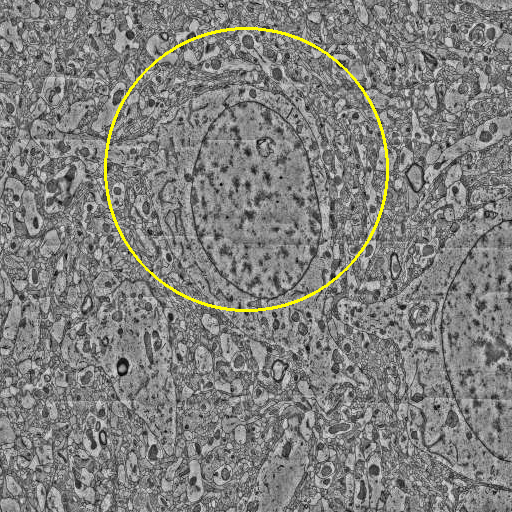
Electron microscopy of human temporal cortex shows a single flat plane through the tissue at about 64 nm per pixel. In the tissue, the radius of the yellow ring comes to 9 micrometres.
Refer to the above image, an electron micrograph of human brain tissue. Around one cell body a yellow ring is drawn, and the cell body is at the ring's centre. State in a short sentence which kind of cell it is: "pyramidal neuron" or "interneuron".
The centre of the ring falls on a pyramidal neuron.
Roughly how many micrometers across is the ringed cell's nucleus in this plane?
In this plane the nucleus is clearly longer than it is wide, at approximately 13 by 8 micrometres.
